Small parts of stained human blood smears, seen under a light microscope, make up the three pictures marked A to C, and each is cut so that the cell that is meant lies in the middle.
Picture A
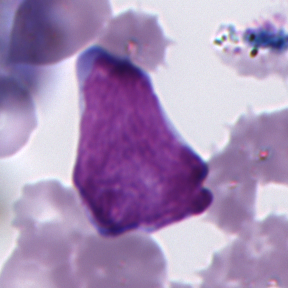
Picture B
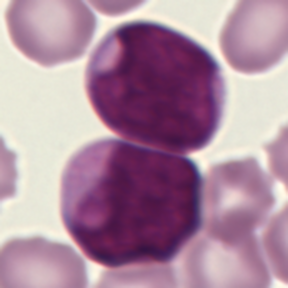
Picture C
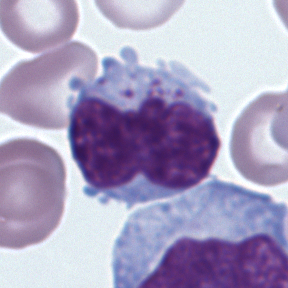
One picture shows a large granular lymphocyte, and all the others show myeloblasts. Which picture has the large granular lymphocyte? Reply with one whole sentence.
The large granular lymphocyte is the one in picture C.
